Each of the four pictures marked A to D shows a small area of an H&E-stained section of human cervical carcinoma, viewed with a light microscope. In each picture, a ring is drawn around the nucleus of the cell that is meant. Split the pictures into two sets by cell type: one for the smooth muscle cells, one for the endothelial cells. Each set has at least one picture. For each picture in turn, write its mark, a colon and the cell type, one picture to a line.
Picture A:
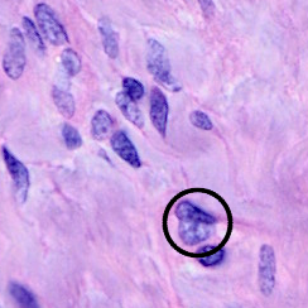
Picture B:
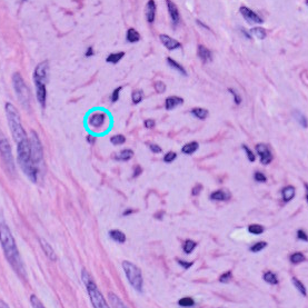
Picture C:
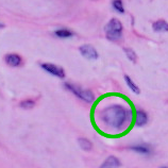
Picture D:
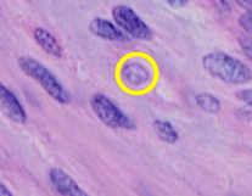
A: endothelial cell
B: smooth muscle cell
C: endothelial cell
D: endothelial cell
